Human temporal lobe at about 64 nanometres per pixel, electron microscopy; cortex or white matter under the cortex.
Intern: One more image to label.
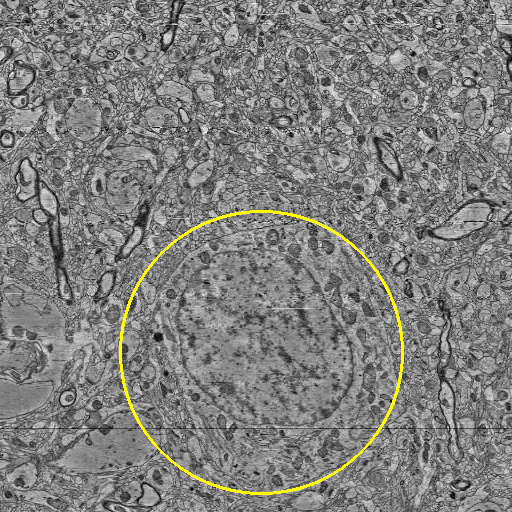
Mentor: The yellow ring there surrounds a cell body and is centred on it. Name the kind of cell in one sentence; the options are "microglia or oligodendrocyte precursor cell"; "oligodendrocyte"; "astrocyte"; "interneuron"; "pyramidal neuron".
The ring marks the cell body of an interneuron.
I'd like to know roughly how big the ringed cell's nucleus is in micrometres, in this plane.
The ringed cell's nucleus measures approximately 13 by 10 micrometres in this plane.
